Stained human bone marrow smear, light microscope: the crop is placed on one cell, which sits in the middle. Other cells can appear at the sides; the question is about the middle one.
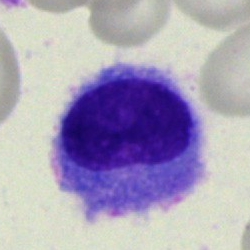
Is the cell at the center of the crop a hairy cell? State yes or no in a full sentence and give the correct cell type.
Yes, in this crop the cell in the middle is a hairy cell.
